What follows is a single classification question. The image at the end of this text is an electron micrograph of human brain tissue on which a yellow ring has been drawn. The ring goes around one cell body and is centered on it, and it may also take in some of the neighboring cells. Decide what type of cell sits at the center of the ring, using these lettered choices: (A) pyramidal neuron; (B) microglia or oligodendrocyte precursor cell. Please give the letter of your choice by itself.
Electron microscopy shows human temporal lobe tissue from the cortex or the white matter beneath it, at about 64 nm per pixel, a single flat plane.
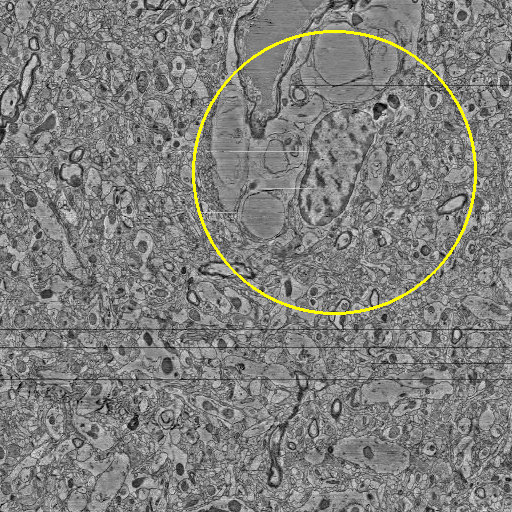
B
